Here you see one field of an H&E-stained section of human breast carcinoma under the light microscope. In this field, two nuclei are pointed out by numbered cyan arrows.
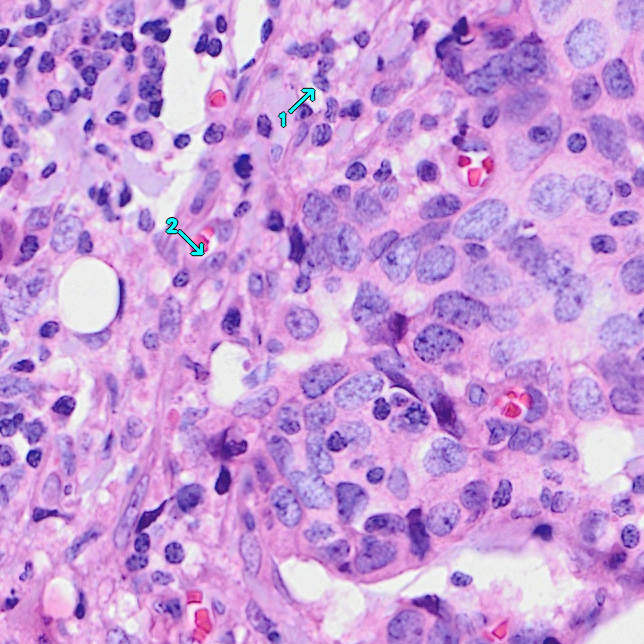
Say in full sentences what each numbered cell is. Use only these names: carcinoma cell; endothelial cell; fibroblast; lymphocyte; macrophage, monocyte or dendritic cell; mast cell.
Cell 1 is a lymphocyte and cell 2 is an endothelial cell.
